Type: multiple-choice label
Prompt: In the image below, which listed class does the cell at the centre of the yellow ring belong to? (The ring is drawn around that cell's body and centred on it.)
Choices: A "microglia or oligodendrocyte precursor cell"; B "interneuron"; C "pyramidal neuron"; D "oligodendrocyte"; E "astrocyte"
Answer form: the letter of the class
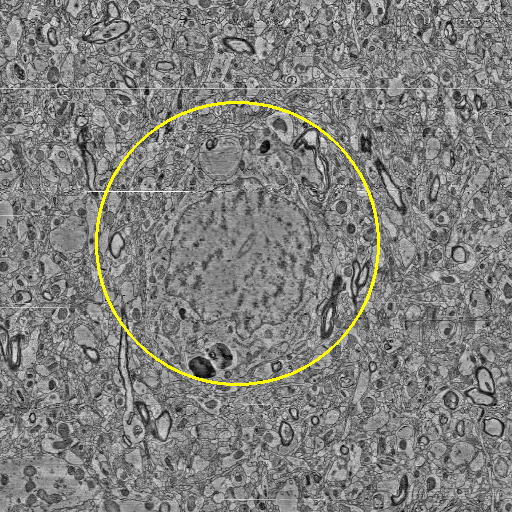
B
